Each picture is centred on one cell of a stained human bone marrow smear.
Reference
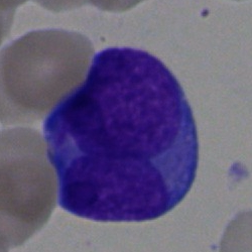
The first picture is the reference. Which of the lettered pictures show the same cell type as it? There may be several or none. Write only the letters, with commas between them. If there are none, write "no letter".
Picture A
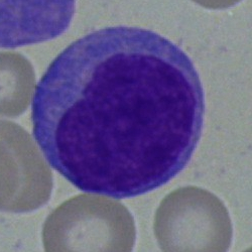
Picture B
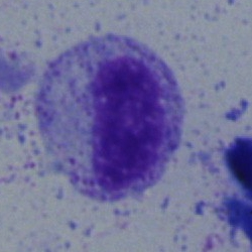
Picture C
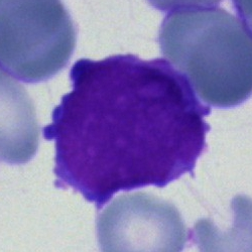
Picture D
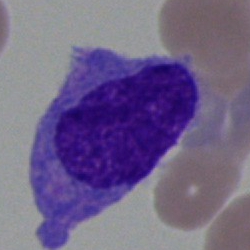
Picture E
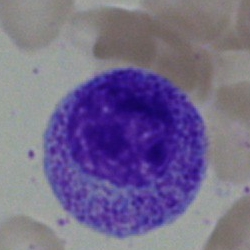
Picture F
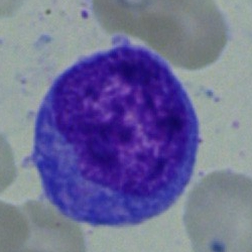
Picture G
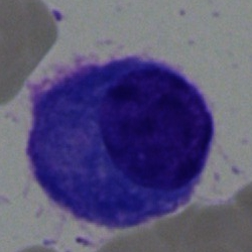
A, C, D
